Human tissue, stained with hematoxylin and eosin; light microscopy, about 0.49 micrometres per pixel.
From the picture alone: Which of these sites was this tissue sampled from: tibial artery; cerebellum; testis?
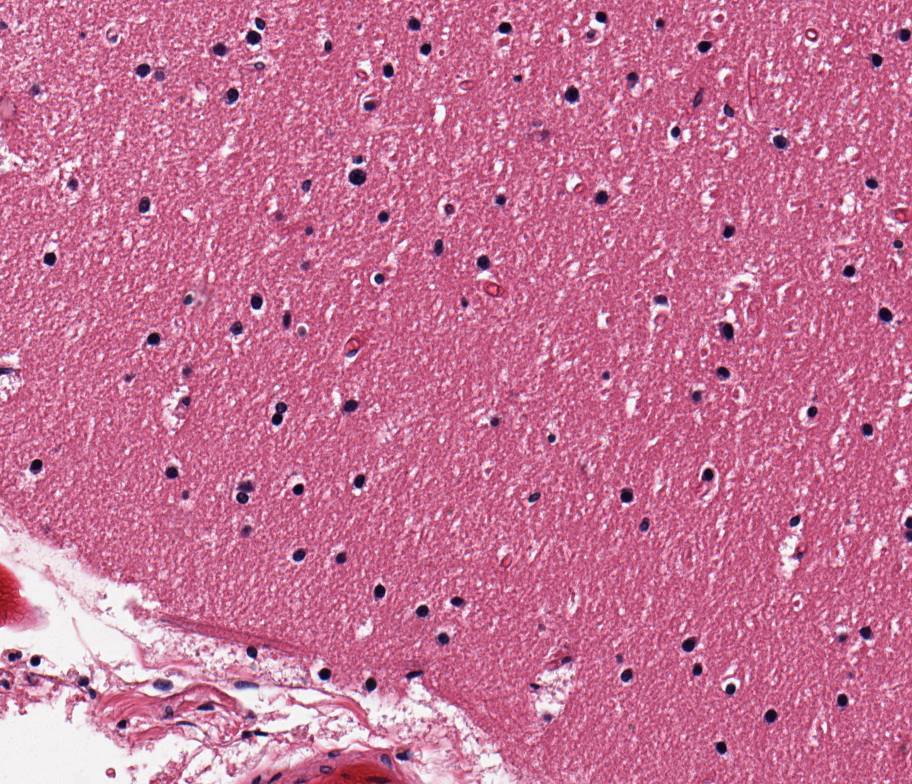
cerebellum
